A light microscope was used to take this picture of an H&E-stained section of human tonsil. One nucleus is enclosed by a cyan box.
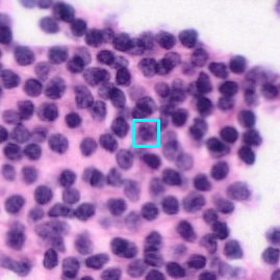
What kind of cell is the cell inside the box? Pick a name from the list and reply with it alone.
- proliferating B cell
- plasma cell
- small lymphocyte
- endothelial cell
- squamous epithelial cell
small lymphocyte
